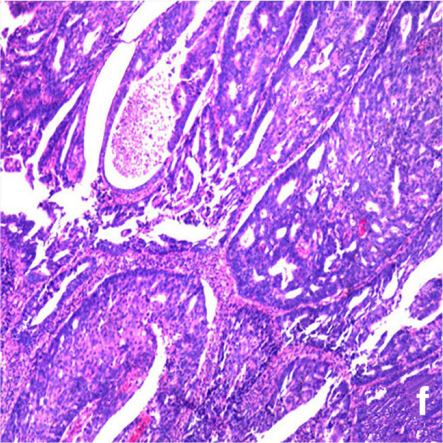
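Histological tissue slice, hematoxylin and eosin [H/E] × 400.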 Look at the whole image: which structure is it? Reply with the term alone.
Gland-like arrangement.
